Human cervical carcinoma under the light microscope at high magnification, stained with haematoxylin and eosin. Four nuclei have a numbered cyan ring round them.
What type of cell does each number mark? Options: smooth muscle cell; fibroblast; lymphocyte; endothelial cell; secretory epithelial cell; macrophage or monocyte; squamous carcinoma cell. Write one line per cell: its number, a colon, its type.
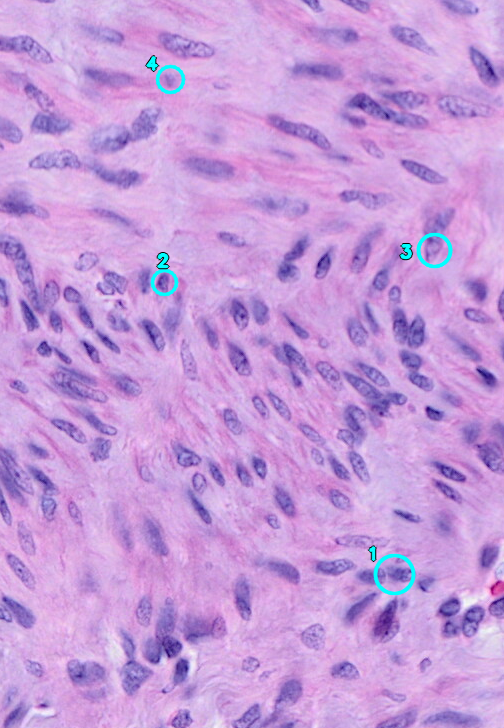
1: fibroblast
2: smooth muscle cell
3: smooth muscle cell
4: smooth muscle cell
